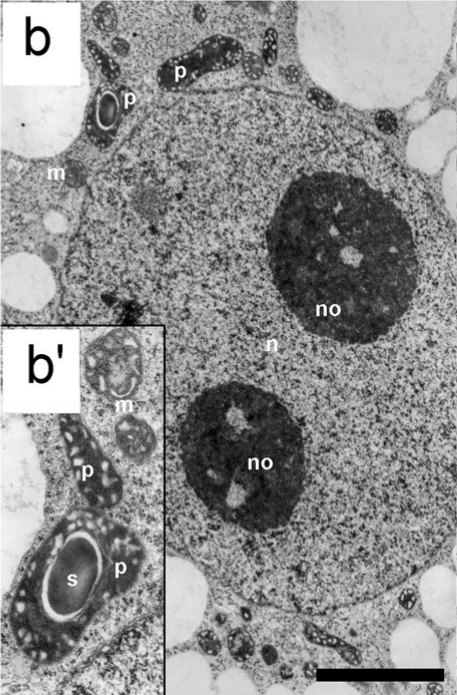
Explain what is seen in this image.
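The nucleus fills most of the field and contains finely granular nucleoplasm with two large, dense, rounded nucleoli that have small paler areas inside. In the cytoplasm outside the nuclear envelope lie elongated plastids, one of which contains a pale-rimmed starch grain. Small rounded mitochondria with internal membranes lie nearby, and pale vacuoles appear at the edges. The inset enlarges a plastid holding a starch grain, next to other plastids and mitochondria whose internal membranes are clearly visible.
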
